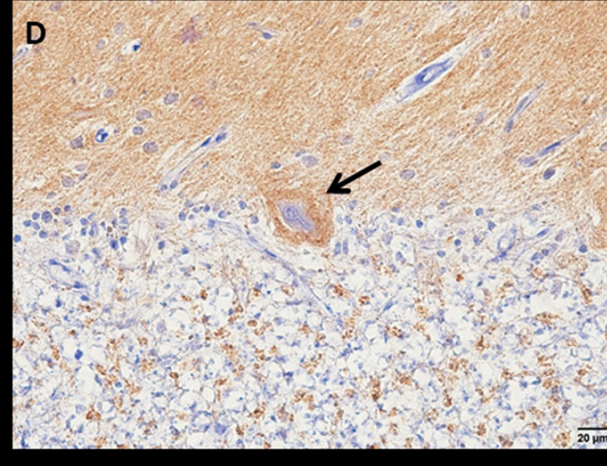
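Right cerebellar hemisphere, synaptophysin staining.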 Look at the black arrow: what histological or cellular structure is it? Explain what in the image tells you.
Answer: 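Halo-like structure. A ring of brown stain encircles a single cell body at the arrow. The cell body inside the ring is pale and weakly stained.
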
